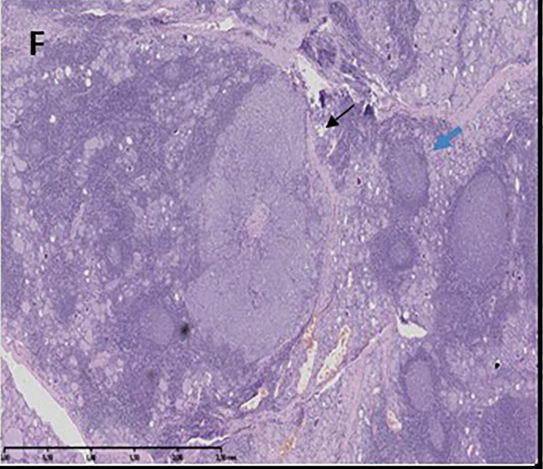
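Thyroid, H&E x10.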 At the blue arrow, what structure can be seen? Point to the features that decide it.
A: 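The arrow points to a rounded, paler zone within densely purple tissue. The pale round zone is ringed by darker, densely packed small cells.
Answer: germinal center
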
